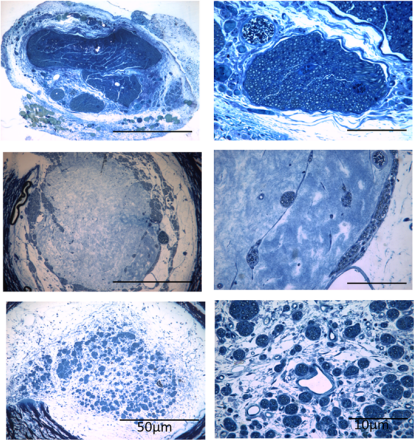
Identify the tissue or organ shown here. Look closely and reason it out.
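Dark blue areas are packed with small ring-shaped profiles. Paler, looser tissue surrounds the dark blue areas. The answer: neural tissue.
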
